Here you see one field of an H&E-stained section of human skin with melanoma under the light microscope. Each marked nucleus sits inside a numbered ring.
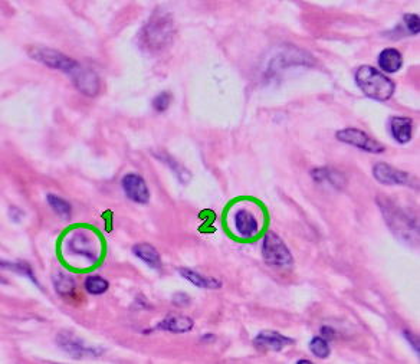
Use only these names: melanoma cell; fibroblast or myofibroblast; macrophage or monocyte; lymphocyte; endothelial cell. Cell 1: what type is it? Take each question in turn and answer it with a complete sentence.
To a fibroblast or myofibroblast belongs the nucleus marked 1.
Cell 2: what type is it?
The cell whose nucleus carries the number 2 is a lymphocyte.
